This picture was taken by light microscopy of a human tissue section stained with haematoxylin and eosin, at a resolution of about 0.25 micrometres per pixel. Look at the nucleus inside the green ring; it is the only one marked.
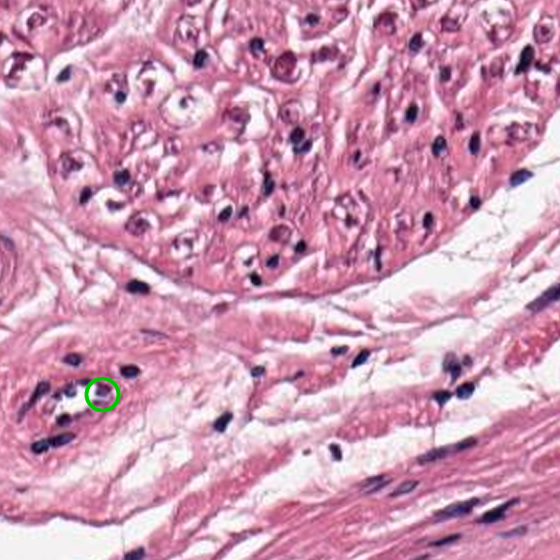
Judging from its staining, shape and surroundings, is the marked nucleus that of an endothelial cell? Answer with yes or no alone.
yes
